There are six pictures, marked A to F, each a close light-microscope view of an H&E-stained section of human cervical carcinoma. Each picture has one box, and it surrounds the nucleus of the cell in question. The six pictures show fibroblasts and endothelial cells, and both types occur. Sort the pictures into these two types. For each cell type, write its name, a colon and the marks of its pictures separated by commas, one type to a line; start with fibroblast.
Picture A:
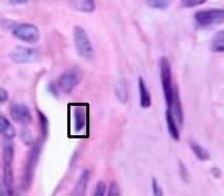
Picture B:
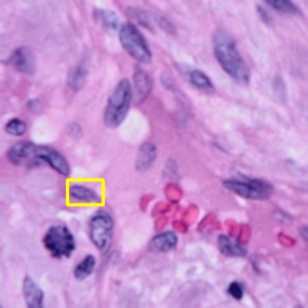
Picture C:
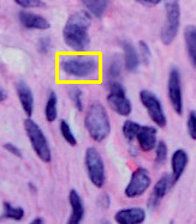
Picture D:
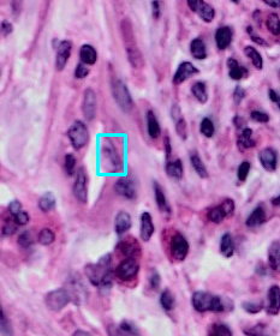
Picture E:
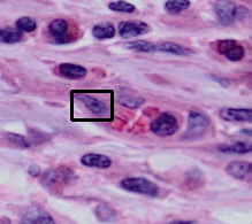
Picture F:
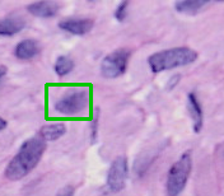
fibroblast: C, F
endothelial cell: A, B, D, E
